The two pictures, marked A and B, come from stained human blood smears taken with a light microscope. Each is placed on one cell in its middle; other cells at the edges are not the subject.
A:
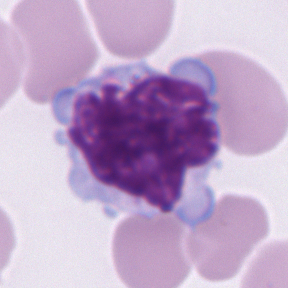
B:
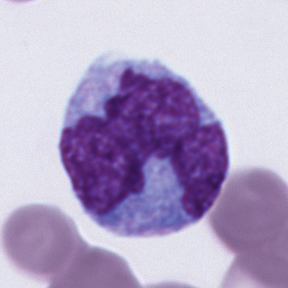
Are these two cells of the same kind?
yes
